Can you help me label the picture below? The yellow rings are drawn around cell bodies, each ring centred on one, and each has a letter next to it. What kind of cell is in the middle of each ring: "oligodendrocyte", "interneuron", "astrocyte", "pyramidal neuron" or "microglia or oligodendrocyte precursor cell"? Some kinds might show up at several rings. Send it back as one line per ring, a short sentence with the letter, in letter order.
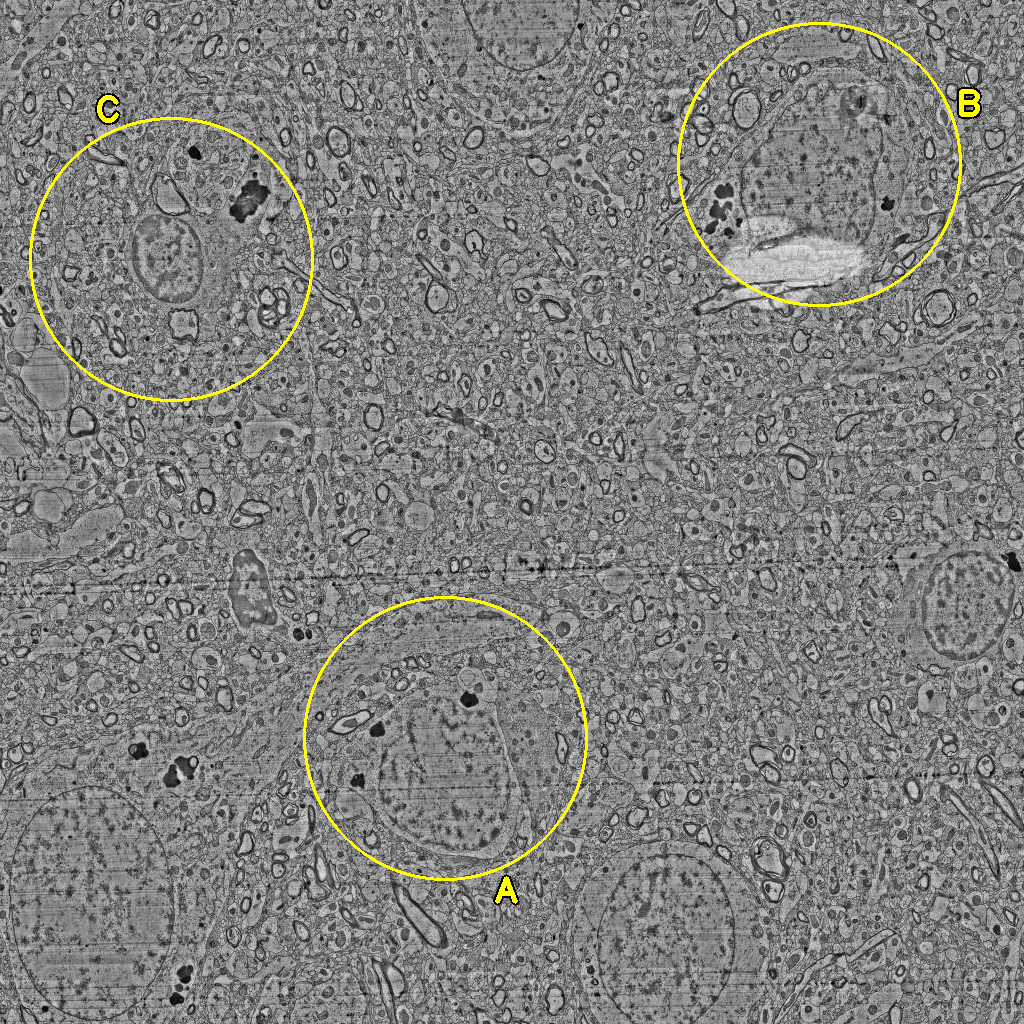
Ring A has an interneuron in the middle.
Ring B has an interneuron in the middle.
Ring C has an oligodendrocyte in the middle.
